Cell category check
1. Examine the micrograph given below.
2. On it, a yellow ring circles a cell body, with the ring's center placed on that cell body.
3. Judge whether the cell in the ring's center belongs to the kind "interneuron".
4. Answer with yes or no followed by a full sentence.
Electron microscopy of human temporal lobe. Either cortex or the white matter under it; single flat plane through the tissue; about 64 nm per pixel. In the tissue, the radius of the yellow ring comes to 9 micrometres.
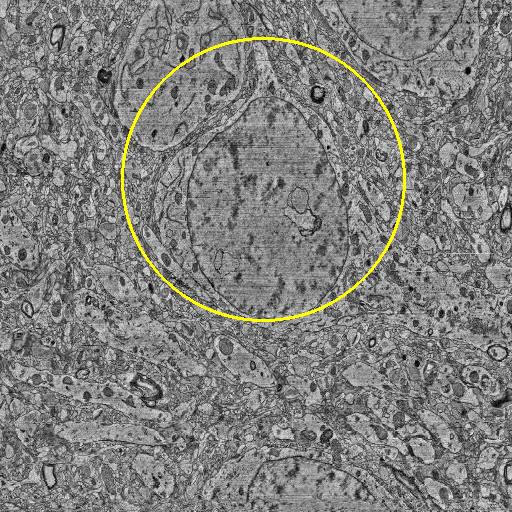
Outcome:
No, the cell found at the ring's center in the micrograph belongs to another kind.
